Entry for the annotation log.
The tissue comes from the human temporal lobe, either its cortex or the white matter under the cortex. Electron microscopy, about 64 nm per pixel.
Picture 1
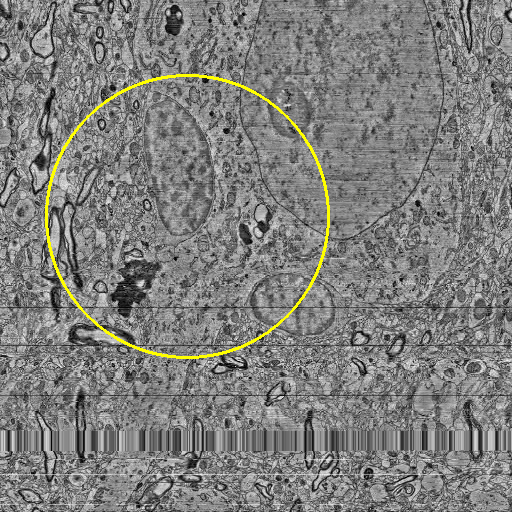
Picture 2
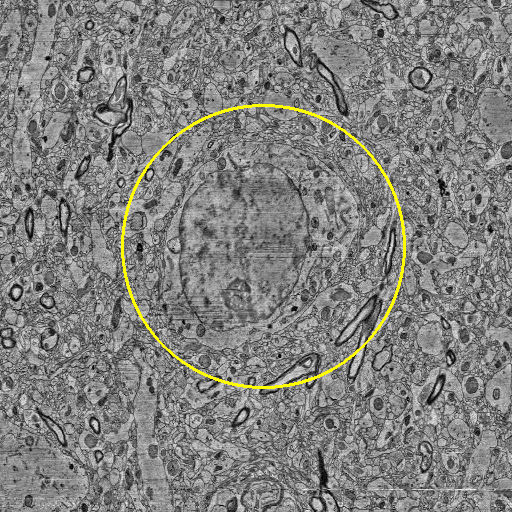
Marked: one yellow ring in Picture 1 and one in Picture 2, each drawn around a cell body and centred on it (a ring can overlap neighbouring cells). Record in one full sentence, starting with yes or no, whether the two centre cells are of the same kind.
No, the two cells are of two kinds.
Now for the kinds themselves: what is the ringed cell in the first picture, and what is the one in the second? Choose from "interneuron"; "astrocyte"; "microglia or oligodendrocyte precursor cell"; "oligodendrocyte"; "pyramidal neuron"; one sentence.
Here the first cell is an oligodendrocyte and the second cell is an interneuron.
